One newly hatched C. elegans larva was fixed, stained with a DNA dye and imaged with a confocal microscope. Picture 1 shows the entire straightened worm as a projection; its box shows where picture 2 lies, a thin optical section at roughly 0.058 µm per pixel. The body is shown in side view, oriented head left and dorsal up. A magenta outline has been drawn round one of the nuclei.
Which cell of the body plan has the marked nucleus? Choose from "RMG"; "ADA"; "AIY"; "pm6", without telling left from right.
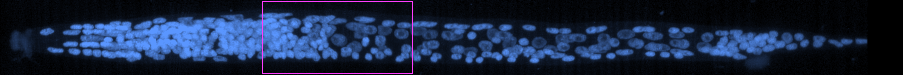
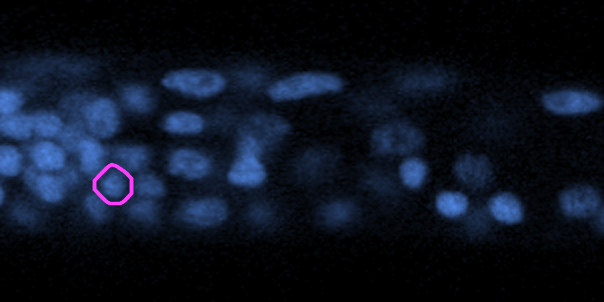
ADA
